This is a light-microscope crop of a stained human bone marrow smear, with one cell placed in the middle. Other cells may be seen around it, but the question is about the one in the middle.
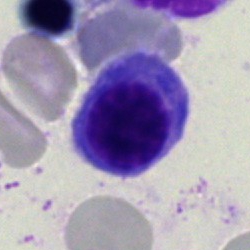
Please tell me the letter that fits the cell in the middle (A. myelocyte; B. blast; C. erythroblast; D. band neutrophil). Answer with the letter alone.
C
